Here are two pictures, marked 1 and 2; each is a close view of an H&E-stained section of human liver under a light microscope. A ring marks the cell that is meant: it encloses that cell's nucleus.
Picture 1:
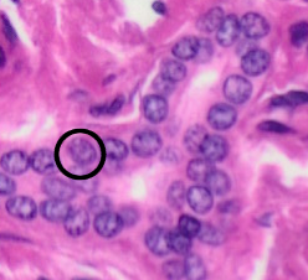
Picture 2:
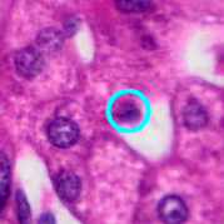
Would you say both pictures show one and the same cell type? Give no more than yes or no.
no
